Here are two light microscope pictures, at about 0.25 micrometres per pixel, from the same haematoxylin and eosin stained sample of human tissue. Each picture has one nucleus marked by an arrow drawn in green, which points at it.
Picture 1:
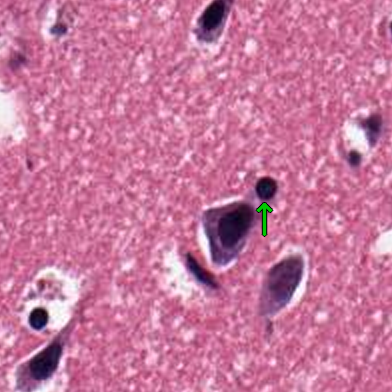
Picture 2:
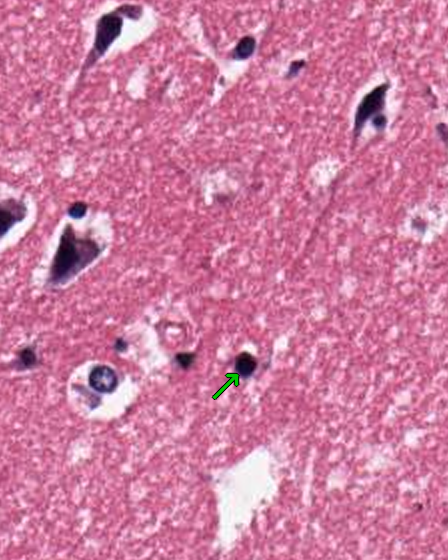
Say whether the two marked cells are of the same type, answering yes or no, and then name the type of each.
Yes, both are oligodendrocytes.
